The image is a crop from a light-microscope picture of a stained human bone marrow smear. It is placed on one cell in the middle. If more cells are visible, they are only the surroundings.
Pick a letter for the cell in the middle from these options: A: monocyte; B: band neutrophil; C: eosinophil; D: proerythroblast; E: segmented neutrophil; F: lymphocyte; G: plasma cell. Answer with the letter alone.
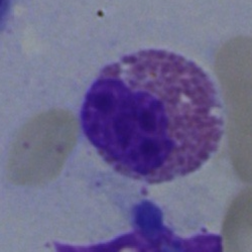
C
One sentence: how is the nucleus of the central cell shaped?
Have a look at the nucleus, which is one compact mass, round, oval or kidney-shaped.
